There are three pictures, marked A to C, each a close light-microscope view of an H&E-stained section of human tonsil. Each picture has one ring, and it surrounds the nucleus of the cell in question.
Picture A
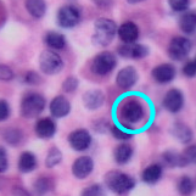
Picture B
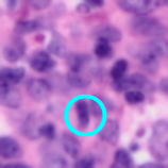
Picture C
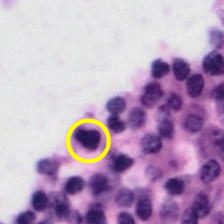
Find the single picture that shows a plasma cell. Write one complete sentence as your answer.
Picture A shows the plasma cell.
